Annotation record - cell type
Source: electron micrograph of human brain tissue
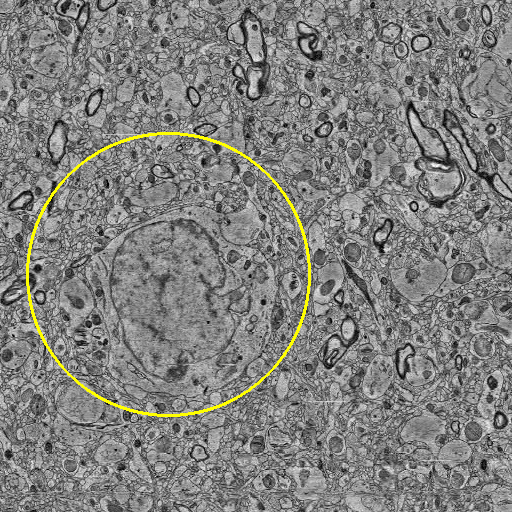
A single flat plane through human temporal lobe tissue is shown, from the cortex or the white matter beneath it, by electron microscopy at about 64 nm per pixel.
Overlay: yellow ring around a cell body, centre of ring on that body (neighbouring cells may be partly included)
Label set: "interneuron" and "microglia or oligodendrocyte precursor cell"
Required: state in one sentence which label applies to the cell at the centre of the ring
This cell should be labelled as an interneuron.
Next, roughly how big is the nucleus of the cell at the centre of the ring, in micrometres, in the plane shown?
The nucleus appears roughly 10 by 8 micrometres in this plane.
